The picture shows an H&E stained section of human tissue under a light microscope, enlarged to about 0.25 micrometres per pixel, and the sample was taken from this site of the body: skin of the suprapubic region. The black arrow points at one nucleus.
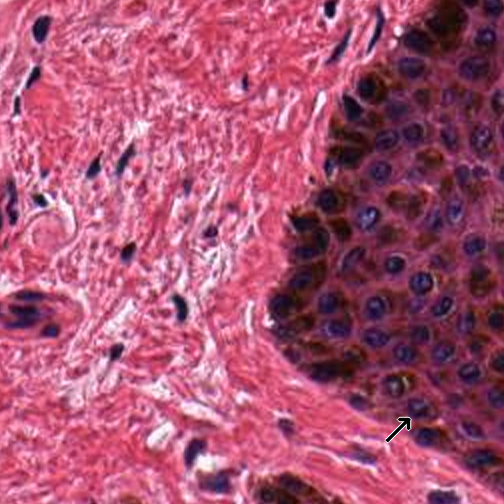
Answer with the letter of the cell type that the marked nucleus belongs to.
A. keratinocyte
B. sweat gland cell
A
